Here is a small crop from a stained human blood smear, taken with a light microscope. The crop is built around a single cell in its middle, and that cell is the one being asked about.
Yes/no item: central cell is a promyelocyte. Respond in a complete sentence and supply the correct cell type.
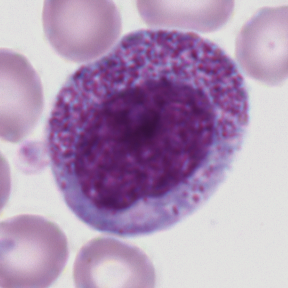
Yes, the central element of the crop is a promyelocyte.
